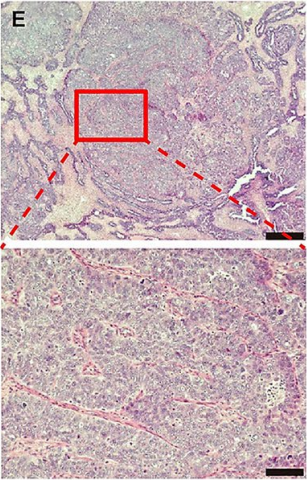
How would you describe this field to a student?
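This is a carcinoma shown at low power above and at higher power below, with the enlarged area framed by a red box. At low power, a large solid nodule of tumor sits among thinner branching glandular and papillary structures in pale stroma. At higher power the nodule is made of sheets of crowded cells with pink cytoplasm and round to oval nuclei, with hardly any gland lumens. Thin pink fibrovascular septa run between the sheets.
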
